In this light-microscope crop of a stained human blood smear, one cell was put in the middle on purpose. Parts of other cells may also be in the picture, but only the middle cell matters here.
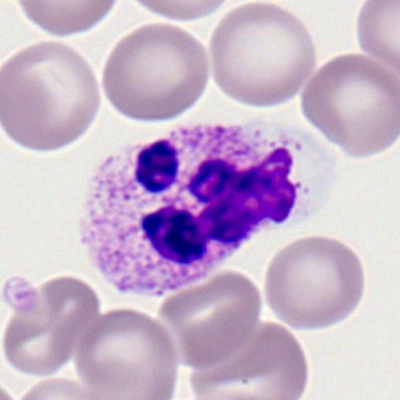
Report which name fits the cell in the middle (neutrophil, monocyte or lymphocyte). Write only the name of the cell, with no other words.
neutrophil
